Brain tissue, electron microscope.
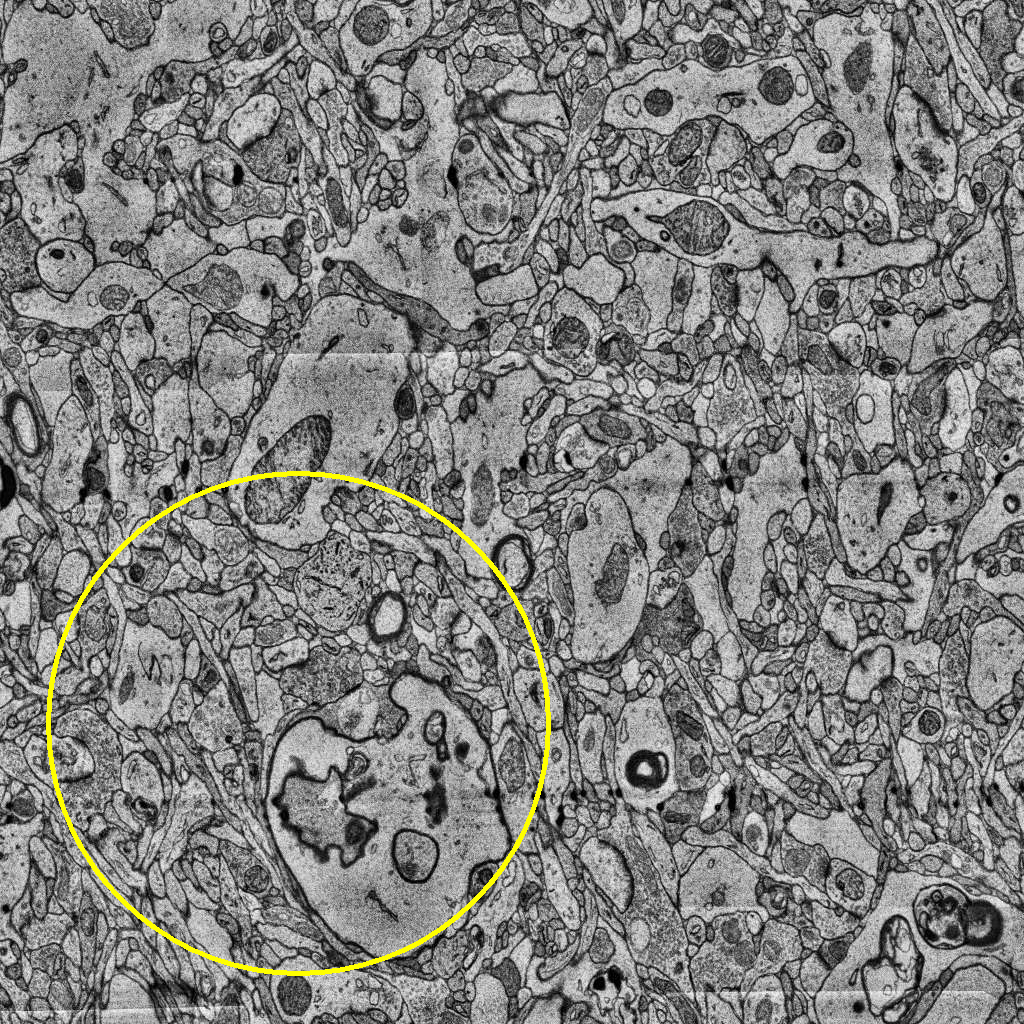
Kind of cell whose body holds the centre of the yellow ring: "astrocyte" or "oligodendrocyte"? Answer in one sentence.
The ring's centre falls on an oligodendrocyte.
